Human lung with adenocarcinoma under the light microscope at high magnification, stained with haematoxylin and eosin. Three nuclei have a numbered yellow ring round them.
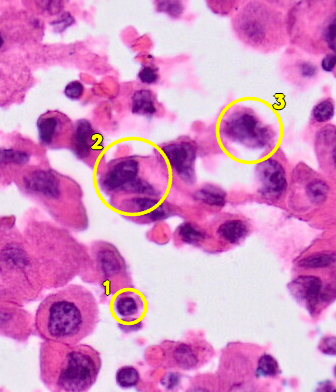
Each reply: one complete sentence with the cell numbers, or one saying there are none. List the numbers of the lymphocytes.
Only the cell numbered 1 qualifies as a lymphocyte among the marked cells.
